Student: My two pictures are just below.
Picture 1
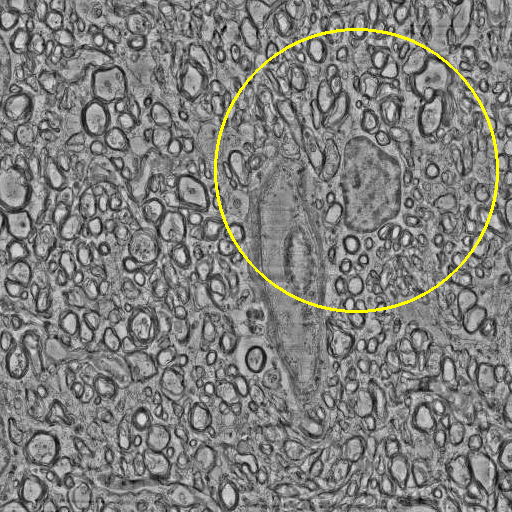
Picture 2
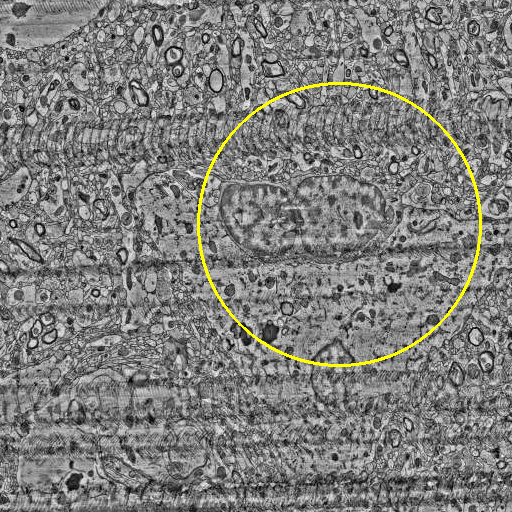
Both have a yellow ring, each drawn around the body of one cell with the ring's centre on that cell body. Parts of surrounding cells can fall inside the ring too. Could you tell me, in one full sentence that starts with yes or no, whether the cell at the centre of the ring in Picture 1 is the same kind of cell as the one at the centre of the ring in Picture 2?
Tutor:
No, the two cells are of two kinds.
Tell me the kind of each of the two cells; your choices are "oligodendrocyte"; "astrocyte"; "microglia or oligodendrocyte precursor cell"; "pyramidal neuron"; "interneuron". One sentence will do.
The ringed cell is a microglial cell or oligodendrocyte precursor cell in the first picture and an oligodendrocyte in the second picture.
